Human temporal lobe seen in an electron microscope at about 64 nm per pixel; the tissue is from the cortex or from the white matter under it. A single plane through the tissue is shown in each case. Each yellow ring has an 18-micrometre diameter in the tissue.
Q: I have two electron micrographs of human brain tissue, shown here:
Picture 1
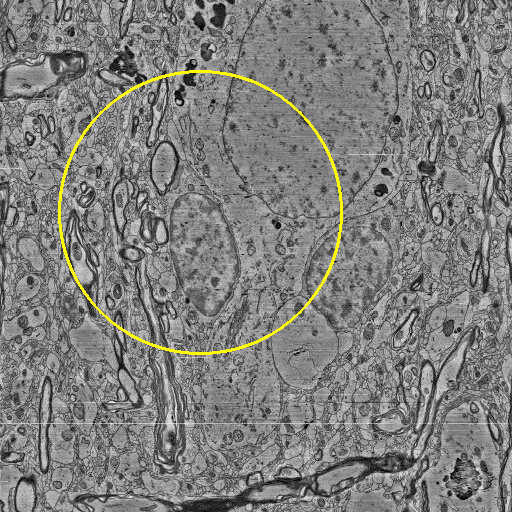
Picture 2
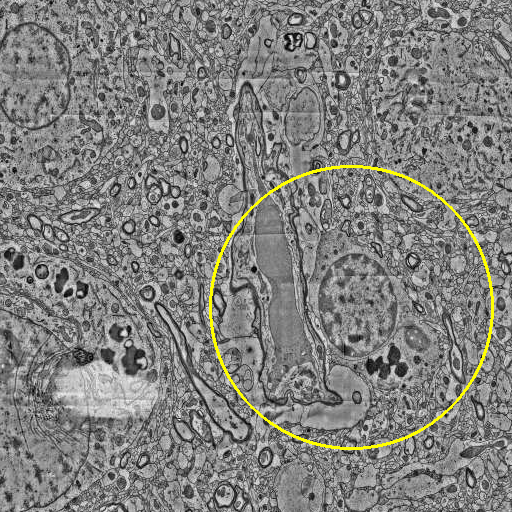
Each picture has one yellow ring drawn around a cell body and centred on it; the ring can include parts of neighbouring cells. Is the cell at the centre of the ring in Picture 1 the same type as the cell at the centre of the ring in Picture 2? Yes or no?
yes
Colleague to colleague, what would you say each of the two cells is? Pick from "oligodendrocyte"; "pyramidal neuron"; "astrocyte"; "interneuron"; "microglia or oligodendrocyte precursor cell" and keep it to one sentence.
Both rings mark an oligodendrocyte, one in each picture.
